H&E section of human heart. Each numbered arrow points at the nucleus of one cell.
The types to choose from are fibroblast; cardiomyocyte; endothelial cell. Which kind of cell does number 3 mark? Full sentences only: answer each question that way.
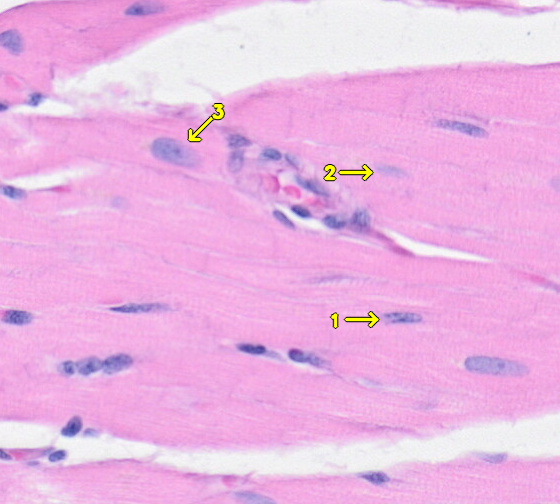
To a cardiomyocyte belongs the nucleus marked 3.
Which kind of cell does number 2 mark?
Regarding cell 2, this one is a cardiomyocyte.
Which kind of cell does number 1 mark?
Classified as an endothelial cell is the cell with the number 1.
